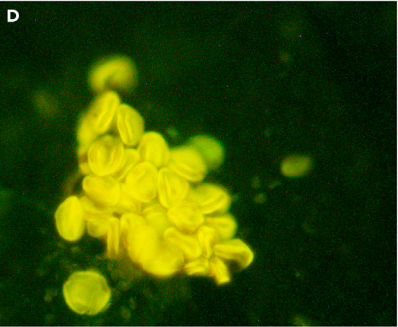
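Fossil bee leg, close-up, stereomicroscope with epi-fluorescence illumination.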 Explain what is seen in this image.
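A tight cluster of a few dozen bright yellow, rounded to oval grains sits on a dark green background. The grains are all of similar size and shape, and many show a lengthwise crease or groove that gives them a folded look. A few grains lie apart from the cluster, some blurred as if slightly out of the plane of focus.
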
